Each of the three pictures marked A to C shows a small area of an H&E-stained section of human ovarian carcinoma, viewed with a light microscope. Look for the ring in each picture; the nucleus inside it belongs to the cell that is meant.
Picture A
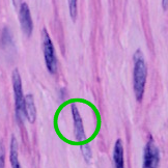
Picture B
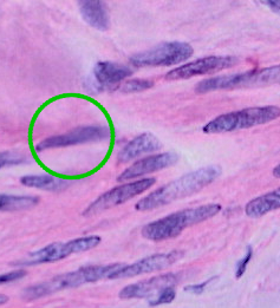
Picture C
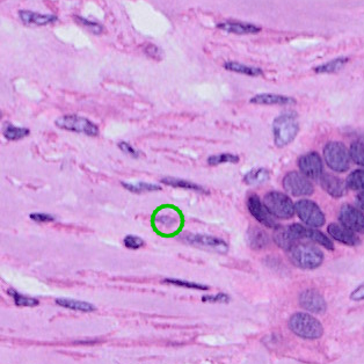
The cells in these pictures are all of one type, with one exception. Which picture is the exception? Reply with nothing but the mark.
C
